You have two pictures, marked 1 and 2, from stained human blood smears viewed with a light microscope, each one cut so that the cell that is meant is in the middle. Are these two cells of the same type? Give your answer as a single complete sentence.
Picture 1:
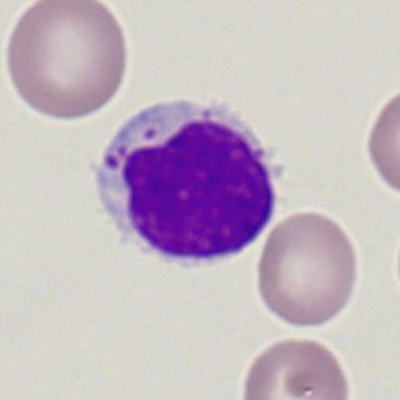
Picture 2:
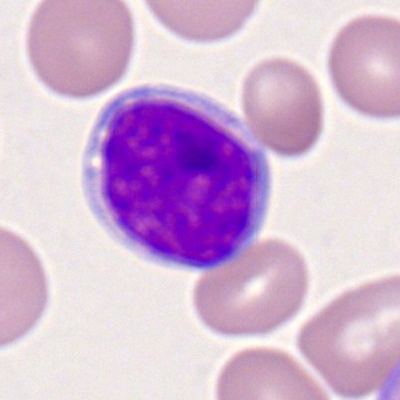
No, the types are not the same, since picture 1 shows a lymphocyte and picture 2 a myeloblast.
